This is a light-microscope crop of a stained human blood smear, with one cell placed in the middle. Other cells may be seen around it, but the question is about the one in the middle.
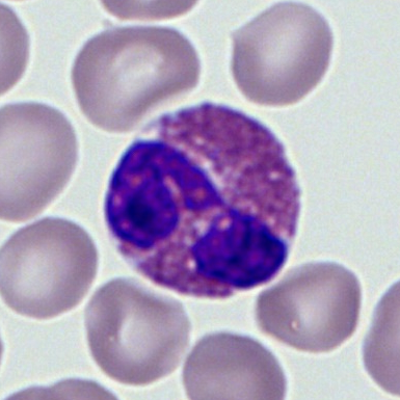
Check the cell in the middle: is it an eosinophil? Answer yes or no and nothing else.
yes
